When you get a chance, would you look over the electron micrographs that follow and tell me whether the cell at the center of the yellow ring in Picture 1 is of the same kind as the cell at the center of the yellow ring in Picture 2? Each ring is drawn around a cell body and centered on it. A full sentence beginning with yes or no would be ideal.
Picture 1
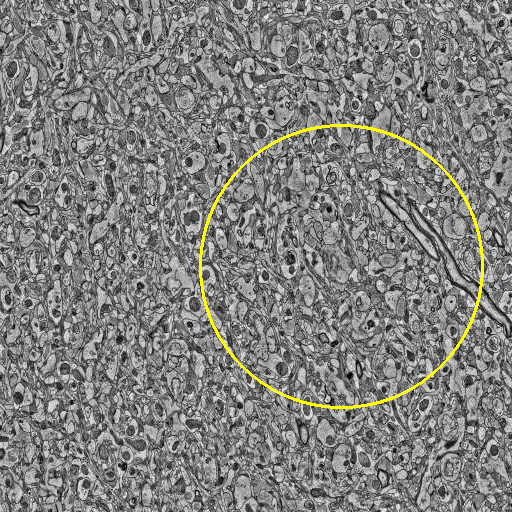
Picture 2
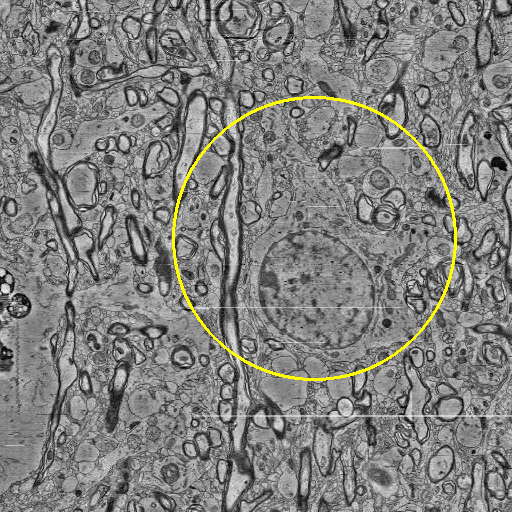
Yes, the two cells are of the same kind.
